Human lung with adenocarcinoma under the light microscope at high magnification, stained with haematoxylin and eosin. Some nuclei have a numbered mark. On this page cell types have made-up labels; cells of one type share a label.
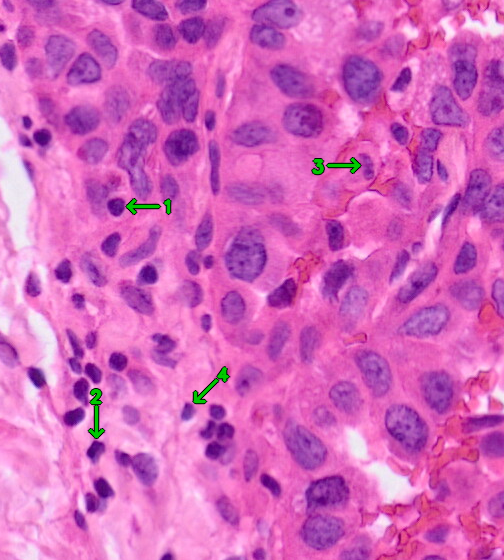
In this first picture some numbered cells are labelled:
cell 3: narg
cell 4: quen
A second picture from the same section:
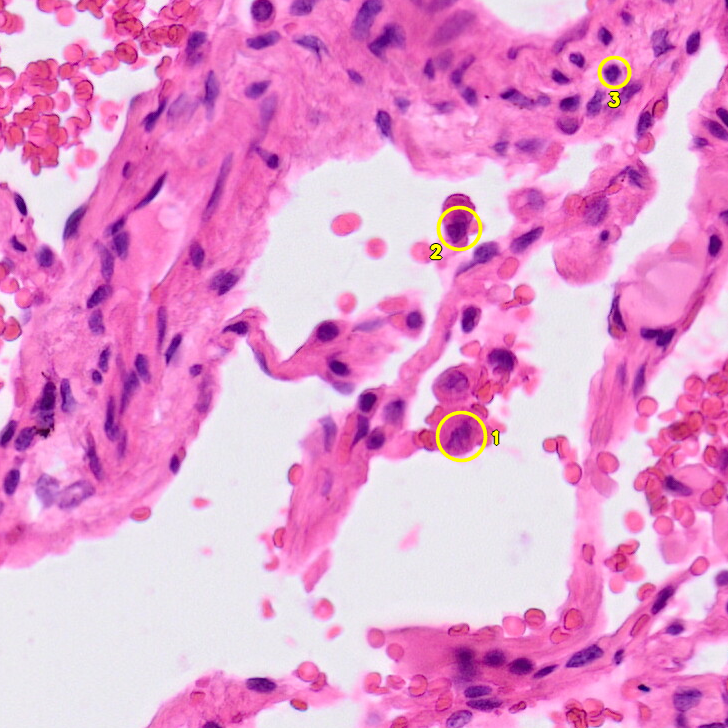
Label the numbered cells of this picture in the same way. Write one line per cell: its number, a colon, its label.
1: narg
2: narg
3: quen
